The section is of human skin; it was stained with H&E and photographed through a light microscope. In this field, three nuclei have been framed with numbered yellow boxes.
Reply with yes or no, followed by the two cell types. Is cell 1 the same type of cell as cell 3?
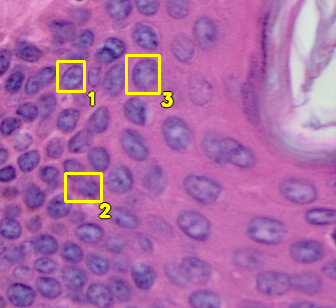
Yes, note that cells 1 and 3 are both suprabasal keratinocytes.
